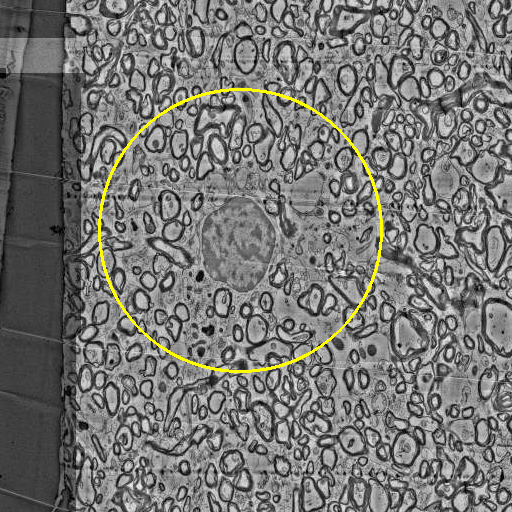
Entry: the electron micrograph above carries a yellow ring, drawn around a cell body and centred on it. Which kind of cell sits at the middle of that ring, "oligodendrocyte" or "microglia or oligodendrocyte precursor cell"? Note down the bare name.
microglia or oligodendrocyte precursor cell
